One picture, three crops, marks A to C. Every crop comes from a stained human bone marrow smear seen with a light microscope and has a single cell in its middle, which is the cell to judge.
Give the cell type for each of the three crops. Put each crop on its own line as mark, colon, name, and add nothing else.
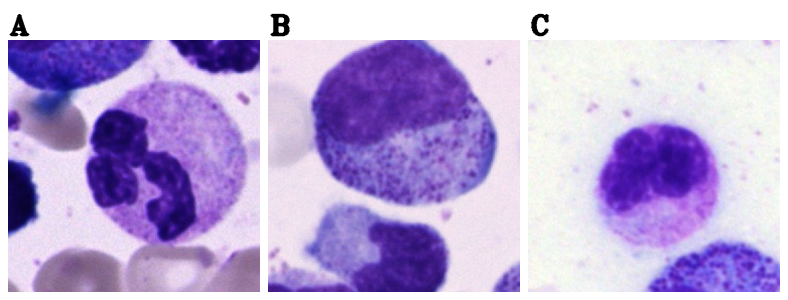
A: segmented neutrophil
B: promyelocyte
C: basophil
